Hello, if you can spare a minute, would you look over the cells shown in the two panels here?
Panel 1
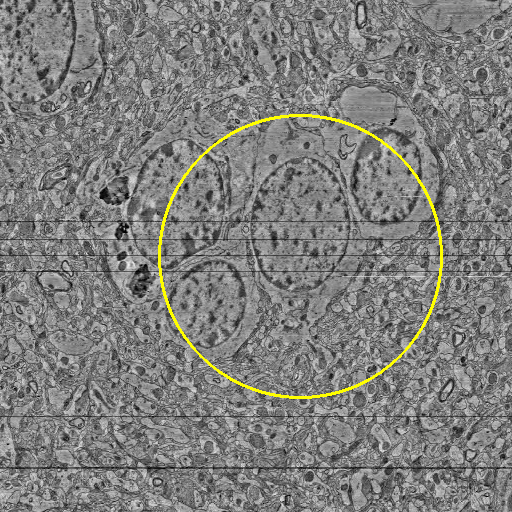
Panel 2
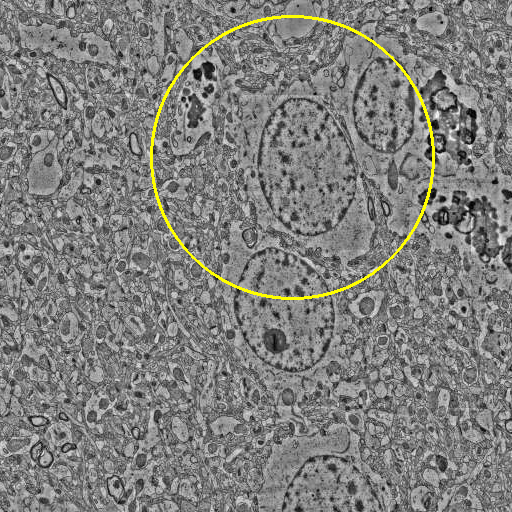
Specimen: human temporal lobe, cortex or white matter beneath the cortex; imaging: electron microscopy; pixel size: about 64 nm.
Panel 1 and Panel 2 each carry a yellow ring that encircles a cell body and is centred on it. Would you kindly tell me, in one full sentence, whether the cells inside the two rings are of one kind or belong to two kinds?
The cells at the centres of the rings in Panel 1 and Panel 2 are of one kind.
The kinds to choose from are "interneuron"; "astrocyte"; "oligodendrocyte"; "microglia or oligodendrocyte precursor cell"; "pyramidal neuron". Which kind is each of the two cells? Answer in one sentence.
Each one of the two ringed cells is an astrocyte.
